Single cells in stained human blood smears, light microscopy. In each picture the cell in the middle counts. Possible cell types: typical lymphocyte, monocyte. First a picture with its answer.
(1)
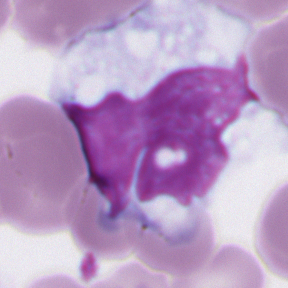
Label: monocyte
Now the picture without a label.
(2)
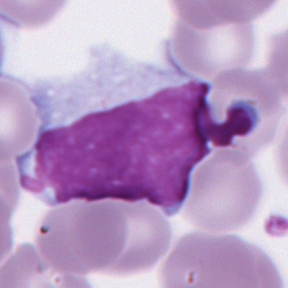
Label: typical lymphocyte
